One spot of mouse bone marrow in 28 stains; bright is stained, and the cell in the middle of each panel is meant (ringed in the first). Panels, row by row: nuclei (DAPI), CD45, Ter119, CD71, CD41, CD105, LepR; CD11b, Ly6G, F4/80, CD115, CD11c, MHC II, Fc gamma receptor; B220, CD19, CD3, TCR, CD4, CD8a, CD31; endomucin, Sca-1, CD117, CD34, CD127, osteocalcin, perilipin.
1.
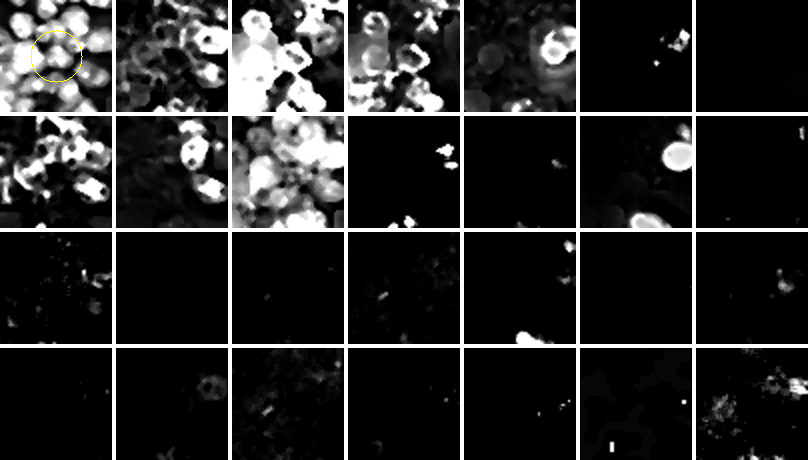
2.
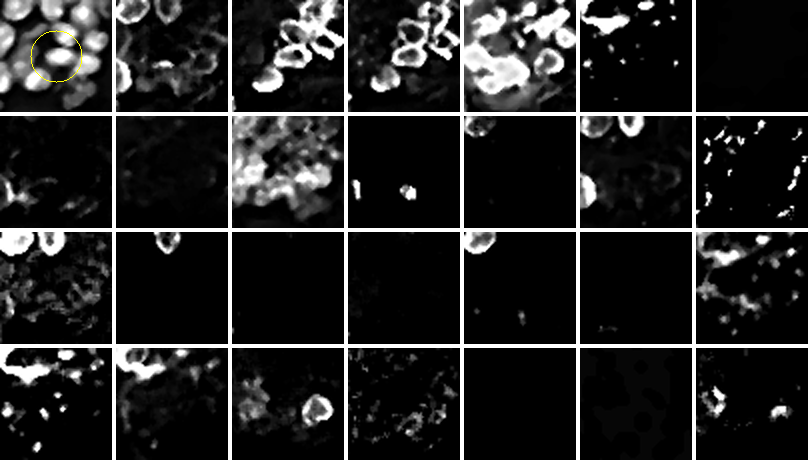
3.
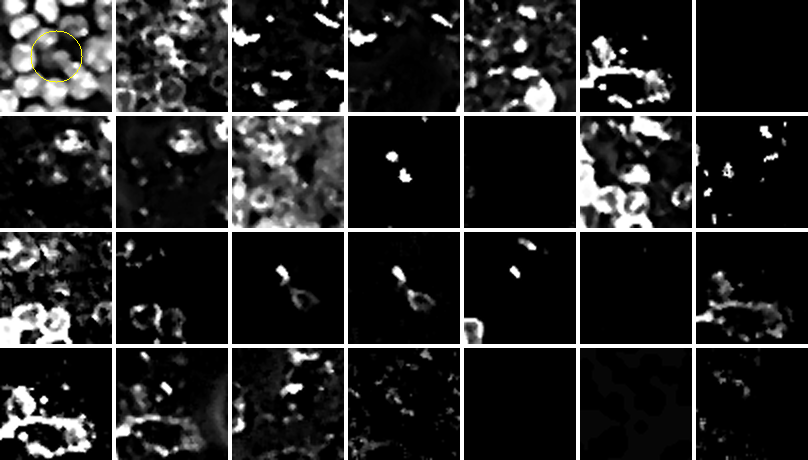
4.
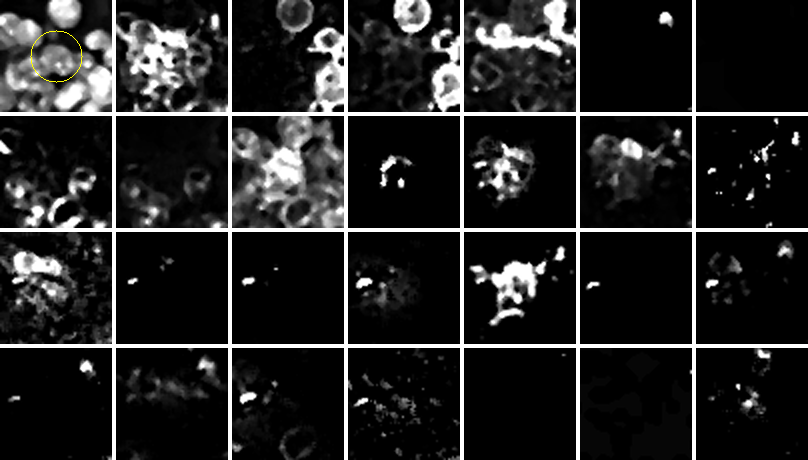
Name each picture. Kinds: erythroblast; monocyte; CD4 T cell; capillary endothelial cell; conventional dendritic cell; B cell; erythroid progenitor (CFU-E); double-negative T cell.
(1) erythroblast
(2) erythroblast
(3) monocyte
(4) conventional dendritic cell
